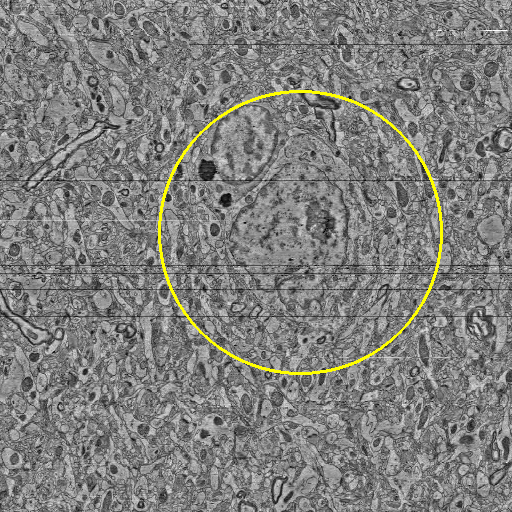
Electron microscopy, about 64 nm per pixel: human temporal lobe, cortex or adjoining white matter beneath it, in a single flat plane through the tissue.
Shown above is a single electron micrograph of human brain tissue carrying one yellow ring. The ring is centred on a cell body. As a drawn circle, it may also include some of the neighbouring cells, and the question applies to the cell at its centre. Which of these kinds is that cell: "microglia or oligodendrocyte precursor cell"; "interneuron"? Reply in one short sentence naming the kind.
The cell marked by the ring is an interneuron.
